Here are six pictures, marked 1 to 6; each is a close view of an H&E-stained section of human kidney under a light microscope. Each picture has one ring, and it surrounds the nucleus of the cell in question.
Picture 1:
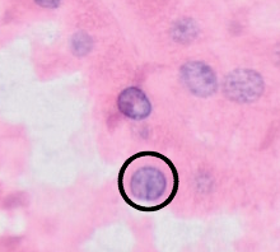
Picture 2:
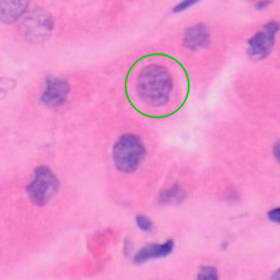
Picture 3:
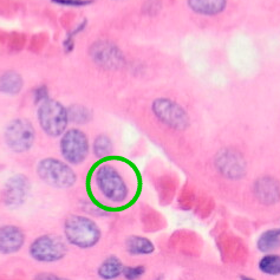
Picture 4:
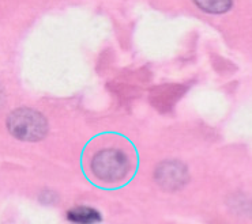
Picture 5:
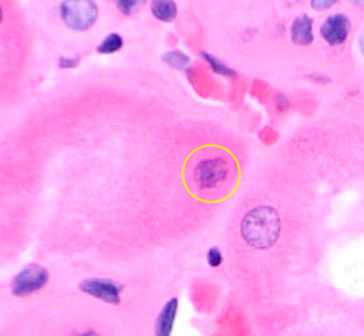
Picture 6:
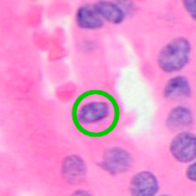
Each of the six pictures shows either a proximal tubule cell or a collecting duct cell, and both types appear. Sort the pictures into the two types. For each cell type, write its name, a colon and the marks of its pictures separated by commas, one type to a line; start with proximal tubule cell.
proximal tubule cell: 1, 2, 4, 5
collecting duct cell: 3, 6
